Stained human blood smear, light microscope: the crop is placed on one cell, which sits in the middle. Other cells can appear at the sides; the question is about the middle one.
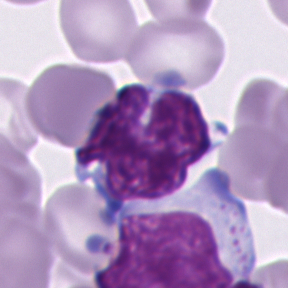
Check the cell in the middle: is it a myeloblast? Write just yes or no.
no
